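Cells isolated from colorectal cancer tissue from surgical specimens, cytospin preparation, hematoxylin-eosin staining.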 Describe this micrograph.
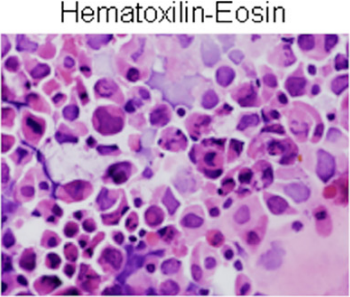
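Many rounded to polygonal cells lie close together, mostly apart but often touching, with clear spaces between some of them. The nuclei are large, round to oval, stained dark purple, and fill much of the cell, with some cells showing a coarse chromatin pattern. Cell sizes vary noticeably across the field, and smaller dark cells are scattered between the larger ones. Pale pink amorphous material lies in the background in places.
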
